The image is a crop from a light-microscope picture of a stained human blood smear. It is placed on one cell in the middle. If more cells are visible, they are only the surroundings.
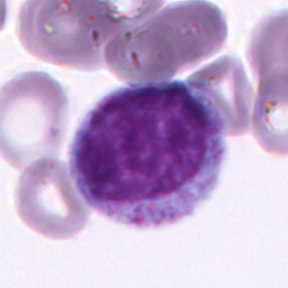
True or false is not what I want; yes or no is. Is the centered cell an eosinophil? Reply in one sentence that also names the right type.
No, the cell in the middle of the crop counts as a myelocyte and not as an eosinophil.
